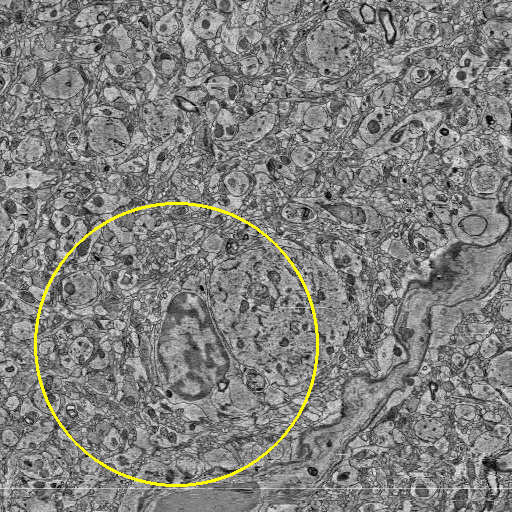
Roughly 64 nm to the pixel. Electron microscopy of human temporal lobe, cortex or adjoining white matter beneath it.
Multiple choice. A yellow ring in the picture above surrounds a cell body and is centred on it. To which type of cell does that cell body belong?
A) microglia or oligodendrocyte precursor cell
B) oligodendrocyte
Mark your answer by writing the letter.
A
